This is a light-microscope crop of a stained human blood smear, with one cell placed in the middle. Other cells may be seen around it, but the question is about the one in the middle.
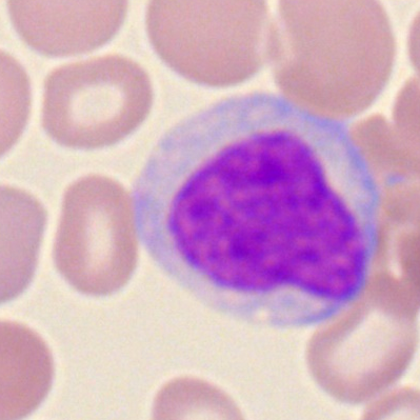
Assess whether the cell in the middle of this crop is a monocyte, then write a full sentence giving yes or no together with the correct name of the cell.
Yes, it is a monocyte that is seen at the centre of the crop.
